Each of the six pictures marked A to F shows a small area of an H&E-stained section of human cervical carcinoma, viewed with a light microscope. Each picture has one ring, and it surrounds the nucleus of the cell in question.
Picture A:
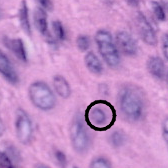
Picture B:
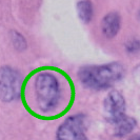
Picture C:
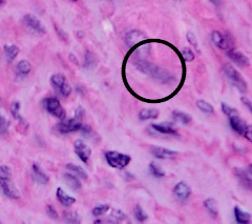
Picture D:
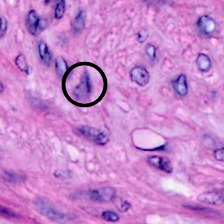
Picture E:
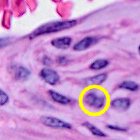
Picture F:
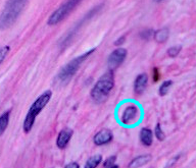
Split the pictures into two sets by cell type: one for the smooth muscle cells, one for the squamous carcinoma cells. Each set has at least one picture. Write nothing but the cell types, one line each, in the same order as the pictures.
squamous carcinoma cell
squamous carcinoma cell
smooth muscle cell
smooth muscle cell
smooth muscle cell
smooth muscle cell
